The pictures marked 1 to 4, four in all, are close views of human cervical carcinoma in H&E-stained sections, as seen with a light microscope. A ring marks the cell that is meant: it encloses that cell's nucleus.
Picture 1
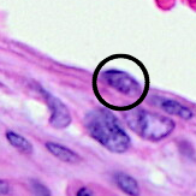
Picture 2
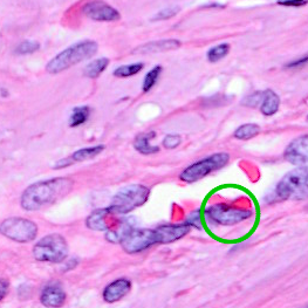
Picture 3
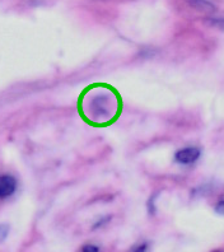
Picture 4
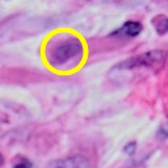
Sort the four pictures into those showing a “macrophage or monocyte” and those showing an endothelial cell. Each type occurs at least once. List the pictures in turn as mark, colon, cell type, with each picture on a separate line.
1: endothelial cell
2: endothelial cell
3: macrophage or monocyte
4: macrophage or monocyte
